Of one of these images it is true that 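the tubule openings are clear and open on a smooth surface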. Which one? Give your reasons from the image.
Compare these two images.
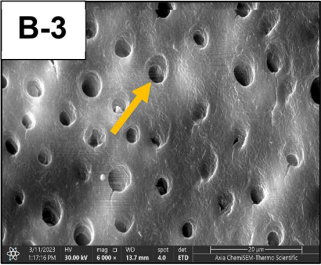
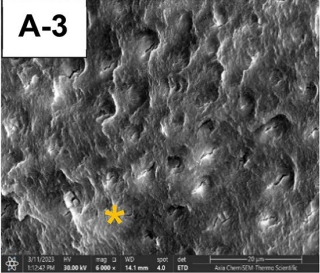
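The first image. Second image: a rough smeared surface with few distinct openings. First image: a smooth surface with many distinct round open holes.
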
